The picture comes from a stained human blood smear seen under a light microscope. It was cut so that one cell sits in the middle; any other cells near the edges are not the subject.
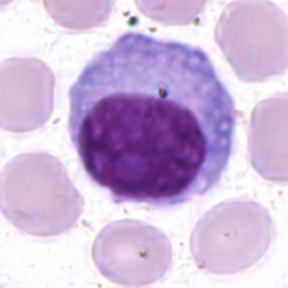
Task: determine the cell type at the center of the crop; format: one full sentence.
The cell at the middle of the frame should be recorded as a plasma cell.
